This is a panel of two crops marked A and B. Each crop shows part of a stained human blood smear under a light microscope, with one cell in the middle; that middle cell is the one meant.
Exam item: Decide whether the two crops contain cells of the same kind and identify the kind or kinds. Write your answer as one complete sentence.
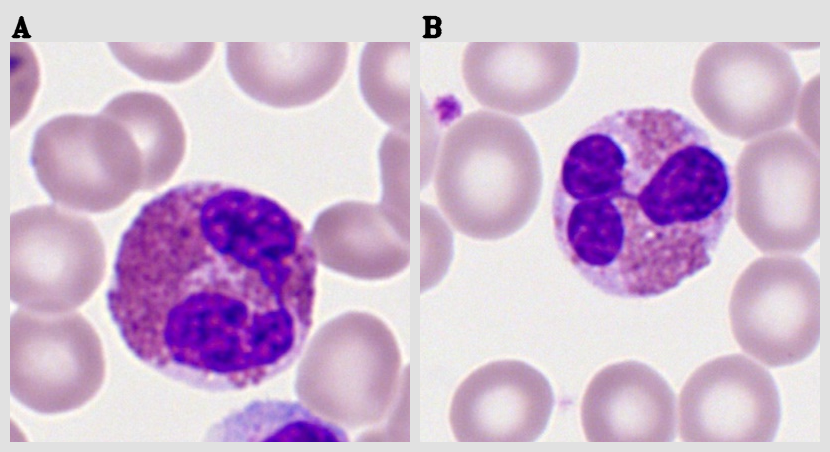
Yes, both crops show eosinophils, to put it briefly.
